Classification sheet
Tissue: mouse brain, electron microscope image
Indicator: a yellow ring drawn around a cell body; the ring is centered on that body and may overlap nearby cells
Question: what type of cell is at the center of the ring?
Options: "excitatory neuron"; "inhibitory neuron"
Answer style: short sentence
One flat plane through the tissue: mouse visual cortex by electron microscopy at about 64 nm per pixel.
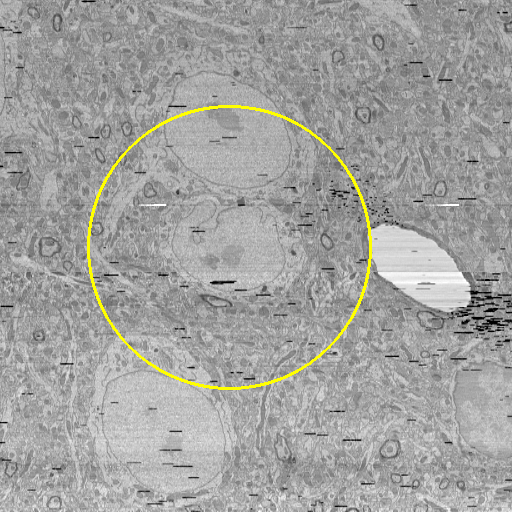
At the ring's center is an inhibitory neuron.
